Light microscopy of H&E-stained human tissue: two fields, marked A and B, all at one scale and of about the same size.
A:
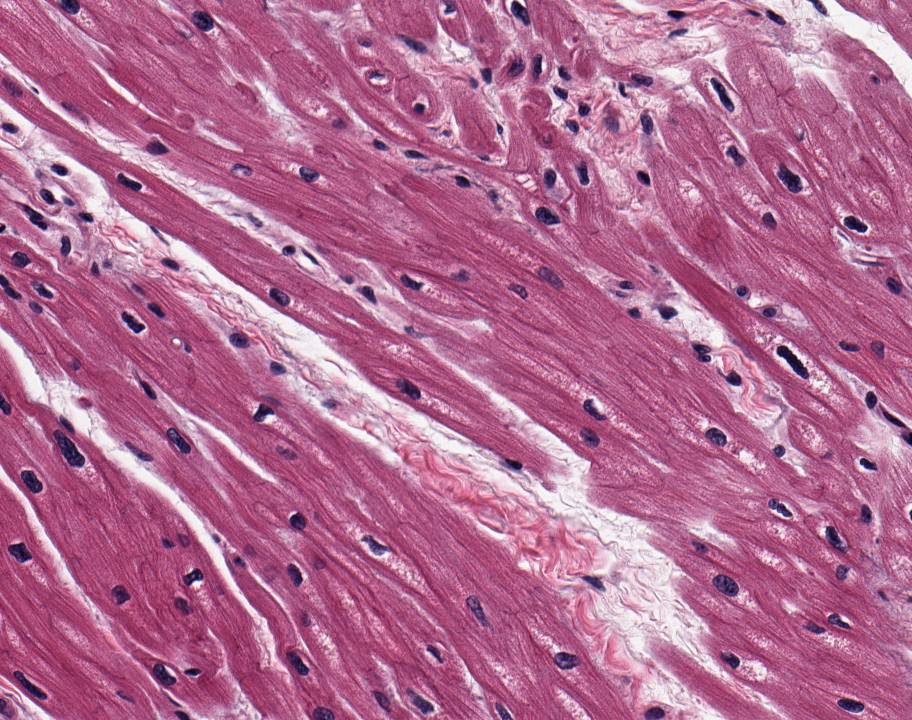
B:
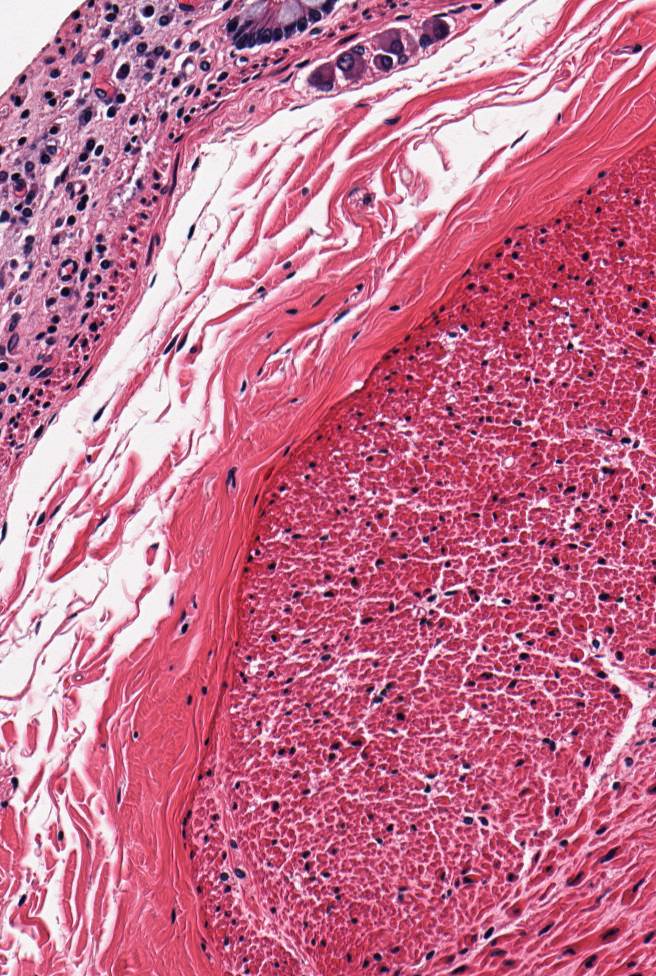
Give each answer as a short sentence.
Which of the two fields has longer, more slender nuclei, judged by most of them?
Longer, more slender nuclei lie in picture A.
